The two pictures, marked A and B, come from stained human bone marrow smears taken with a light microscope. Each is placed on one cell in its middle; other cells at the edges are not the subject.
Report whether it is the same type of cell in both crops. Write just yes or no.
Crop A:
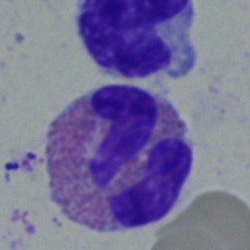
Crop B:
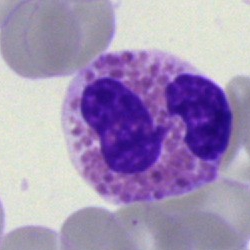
yes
